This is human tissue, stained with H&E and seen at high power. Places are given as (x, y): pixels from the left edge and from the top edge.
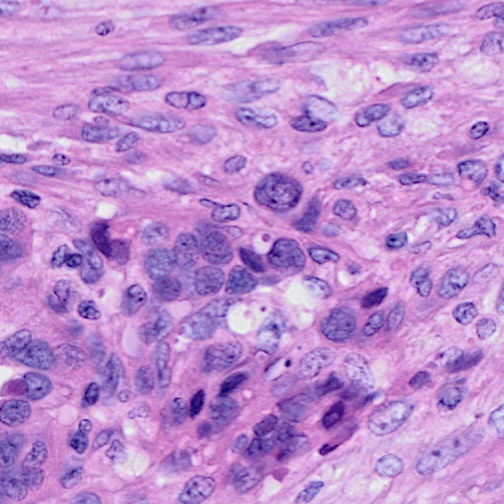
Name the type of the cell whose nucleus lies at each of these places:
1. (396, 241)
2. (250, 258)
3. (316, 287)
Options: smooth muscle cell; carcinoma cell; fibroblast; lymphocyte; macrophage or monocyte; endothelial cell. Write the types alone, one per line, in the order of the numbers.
lymphocyte
carcinoma cell
fibroblast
